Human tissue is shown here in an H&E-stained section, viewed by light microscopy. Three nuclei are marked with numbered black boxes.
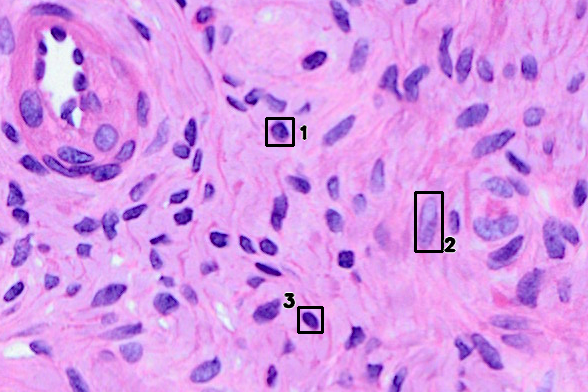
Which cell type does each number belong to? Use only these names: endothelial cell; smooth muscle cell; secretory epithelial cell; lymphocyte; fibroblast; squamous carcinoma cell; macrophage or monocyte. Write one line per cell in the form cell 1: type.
cell 1: fibroblast
cell 2: smooth muscle cell
cell 3: fibroblast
